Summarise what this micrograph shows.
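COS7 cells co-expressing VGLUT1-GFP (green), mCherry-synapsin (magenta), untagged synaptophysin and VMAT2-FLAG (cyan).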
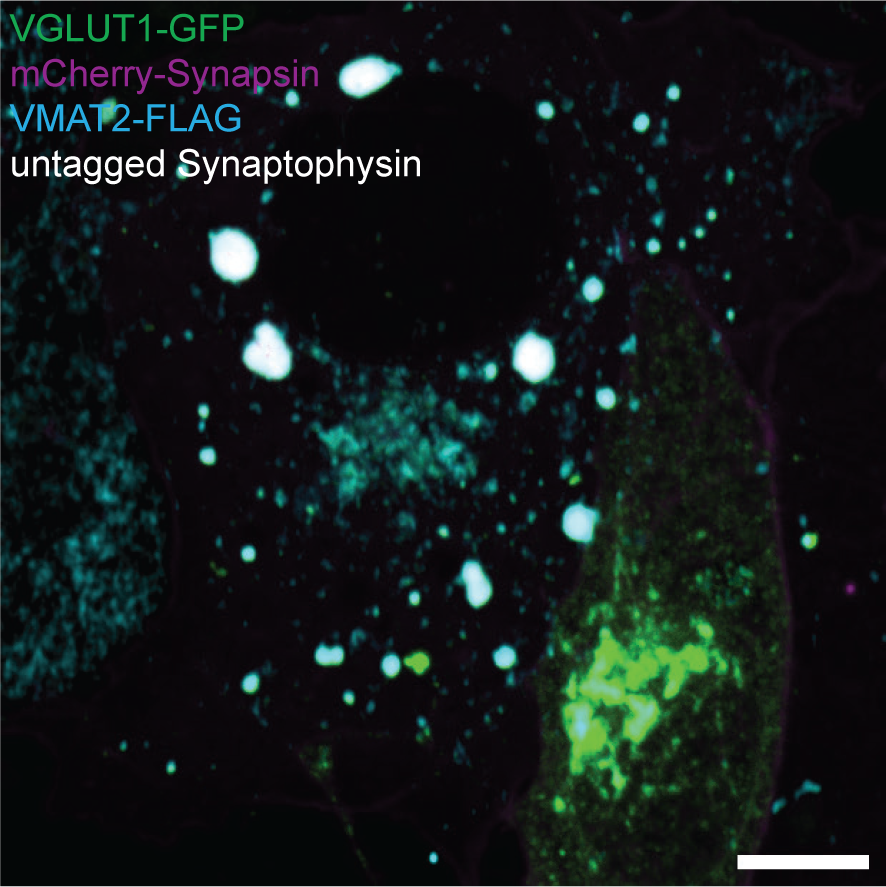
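Cultured cells with large round white vesicle clusters gathered around a dark nucleus, among many smaller cyan dots. A granular cyan network lies beside the nucleus, and a neighbouring cell at lower right shows a bright green reticular patch near its centre.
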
